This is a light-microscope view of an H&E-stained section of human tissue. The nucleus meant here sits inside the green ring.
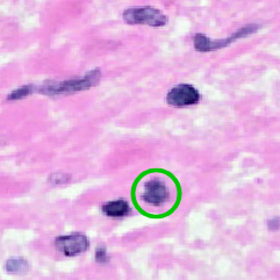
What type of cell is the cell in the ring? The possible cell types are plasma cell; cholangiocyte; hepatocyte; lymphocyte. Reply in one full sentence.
In cell-type terms, the cell in the ring is a lymphocyte.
